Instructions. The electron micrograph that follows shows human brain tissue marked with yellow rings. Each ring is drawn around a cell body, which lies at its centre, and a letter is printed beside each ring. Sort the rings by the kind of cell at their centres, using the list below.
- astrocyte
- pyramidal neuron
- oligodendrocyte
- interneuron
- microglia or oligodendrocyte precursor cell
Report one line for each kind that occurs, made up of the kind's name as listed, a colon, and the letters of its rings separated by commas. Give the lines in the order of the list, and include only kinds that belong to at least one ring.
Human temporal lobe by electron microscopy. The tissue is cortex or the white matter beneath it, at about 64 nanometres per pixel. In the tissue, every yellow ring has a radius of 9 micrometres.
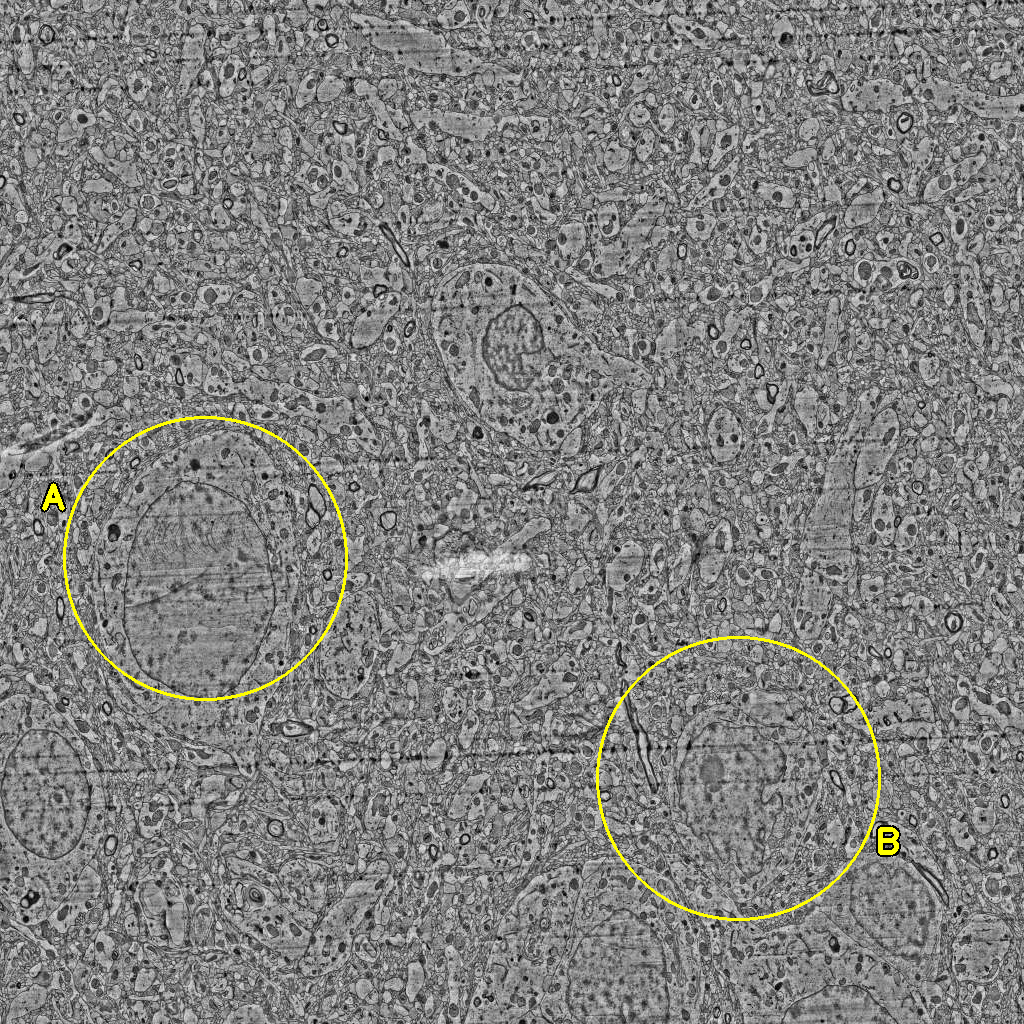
pyramidal neuron: A
interneuron: B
